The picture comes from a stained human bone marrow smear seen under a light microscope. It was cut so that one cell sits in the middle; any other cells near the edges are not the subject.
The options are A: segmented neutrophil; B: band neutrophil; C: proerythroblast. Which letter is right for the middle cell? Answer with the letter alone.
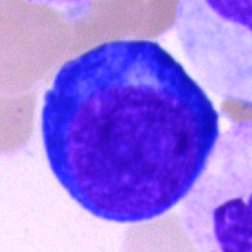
C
